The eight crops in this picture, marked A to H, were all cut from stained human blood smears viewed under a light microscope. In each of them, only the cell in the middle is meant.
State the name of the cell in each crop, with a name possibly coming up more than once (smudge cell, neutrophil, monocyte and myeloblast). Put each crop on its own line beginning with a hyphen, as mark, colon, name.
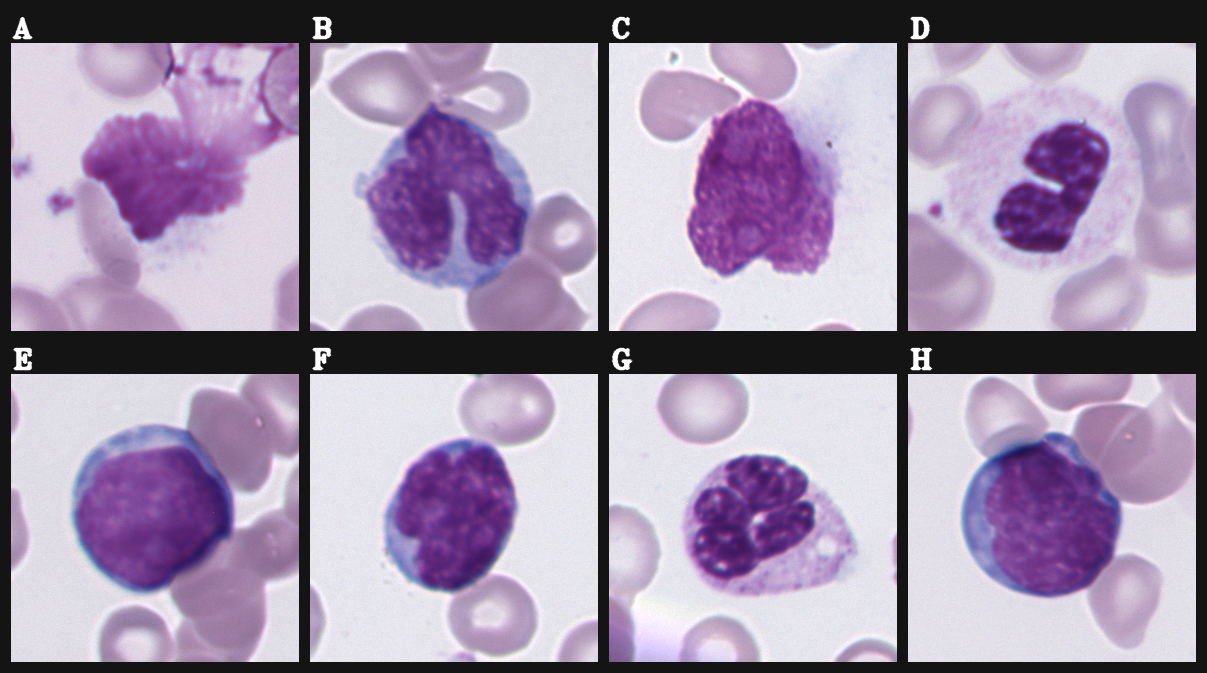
- A: smudge cell
- B: monocyte
- C: smudge cell
- D: neutrophil
- E: myeloblast
- F: myeloblast
- G: neutrophil
- H: myeloblast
